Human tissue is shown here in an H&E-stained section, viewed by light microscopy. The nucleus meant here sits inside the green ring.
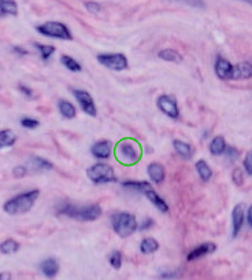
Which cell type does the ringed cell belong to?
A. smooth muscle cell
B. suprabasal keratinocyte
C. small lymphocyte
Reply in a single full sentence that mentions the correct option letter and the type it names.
The correct identification, the ringed cell as a smooth muscle cell, is given by option A.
